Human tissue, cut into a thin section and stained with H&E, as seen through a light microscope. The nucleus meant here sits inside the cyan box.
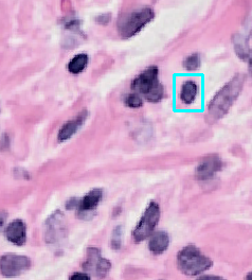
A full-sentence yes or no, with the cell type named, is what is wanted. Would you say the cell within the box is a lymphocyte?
Yes, the cell within the box counts as a lymphocyte in this tissue.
